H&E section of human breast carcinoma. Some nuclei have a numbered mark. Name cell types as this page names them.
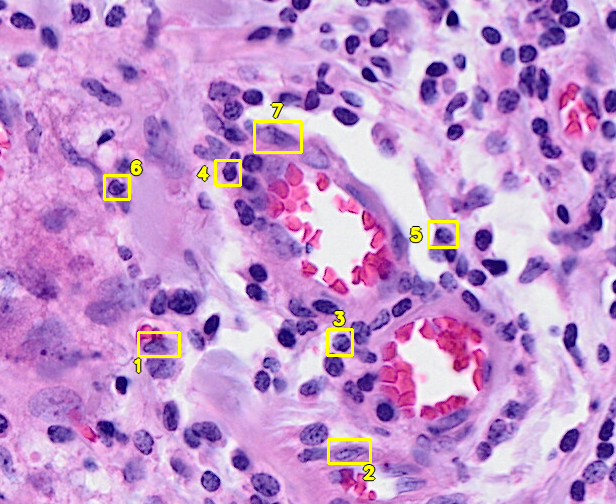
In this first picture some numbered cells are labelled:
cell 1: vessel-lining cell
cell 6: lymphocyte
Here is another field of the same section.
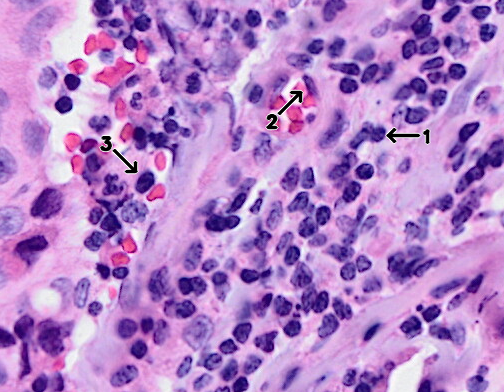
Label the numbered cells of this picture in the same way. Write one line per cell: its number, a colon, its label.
1: lymphocyte
2: vessel-lining cell
3: lymphocyte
